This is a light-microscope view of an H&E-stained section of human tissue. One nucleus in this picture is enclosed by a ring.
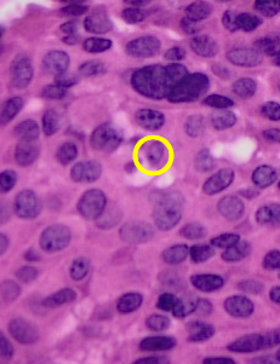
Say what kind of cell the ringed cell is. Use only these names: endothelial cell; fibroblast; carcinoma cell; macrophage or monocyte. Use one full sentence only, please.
Typologically, the ringed cell is a macrophage or monocyte in this section.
